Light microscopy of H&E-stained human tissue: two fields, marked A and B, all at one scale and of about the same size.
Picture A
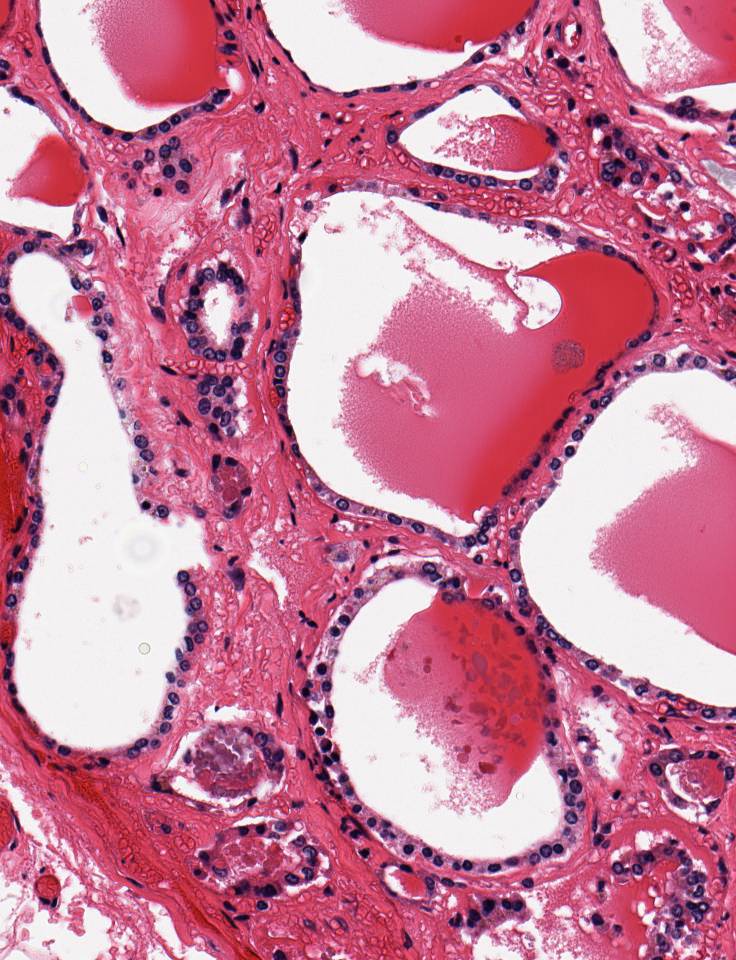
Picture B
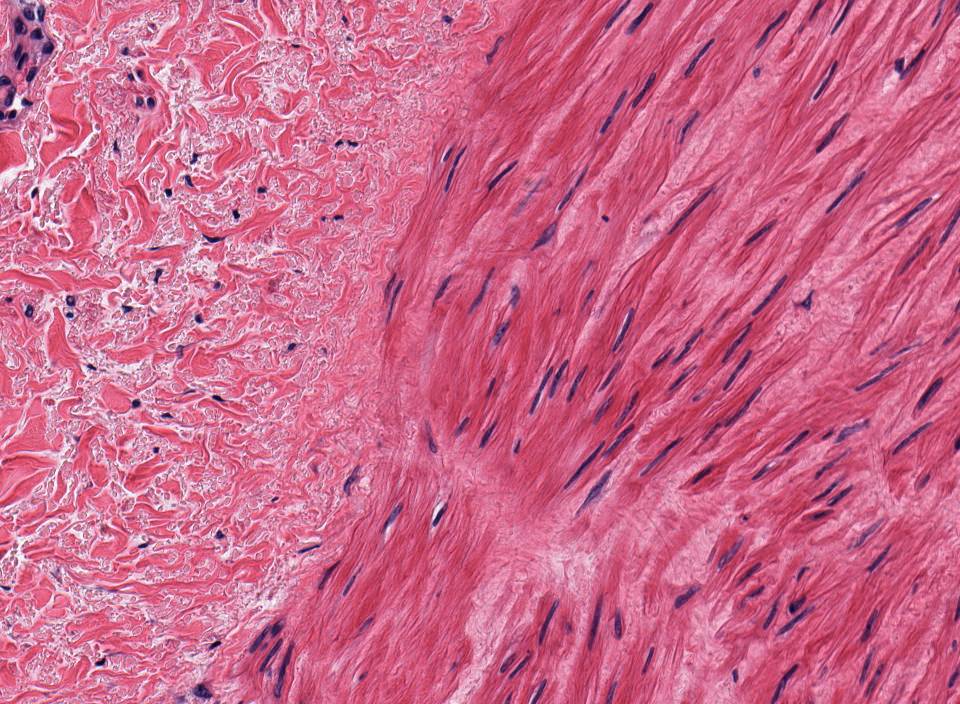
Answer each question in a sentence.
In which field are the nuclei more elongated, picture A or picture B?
It is picture B whose nuclei are the more elongated.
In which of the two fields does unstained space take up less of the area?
Unstained space takes up less of picture B than of picture A.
